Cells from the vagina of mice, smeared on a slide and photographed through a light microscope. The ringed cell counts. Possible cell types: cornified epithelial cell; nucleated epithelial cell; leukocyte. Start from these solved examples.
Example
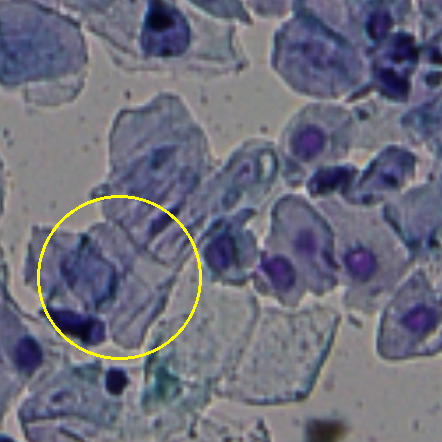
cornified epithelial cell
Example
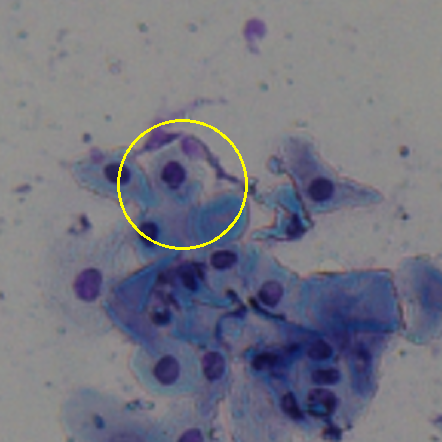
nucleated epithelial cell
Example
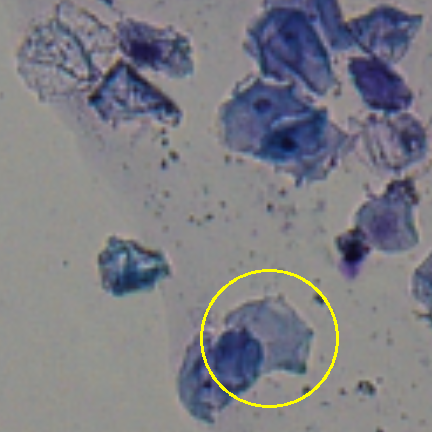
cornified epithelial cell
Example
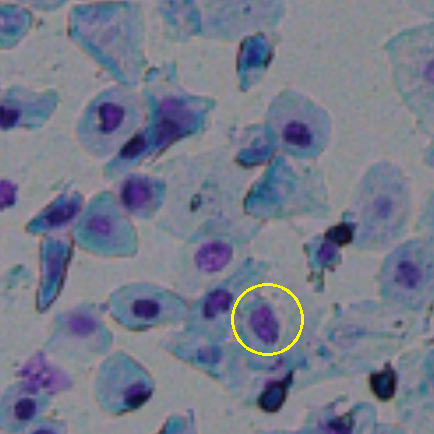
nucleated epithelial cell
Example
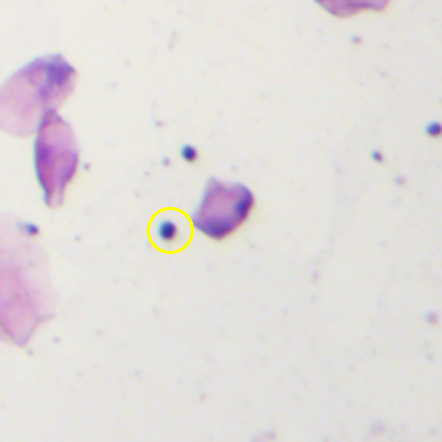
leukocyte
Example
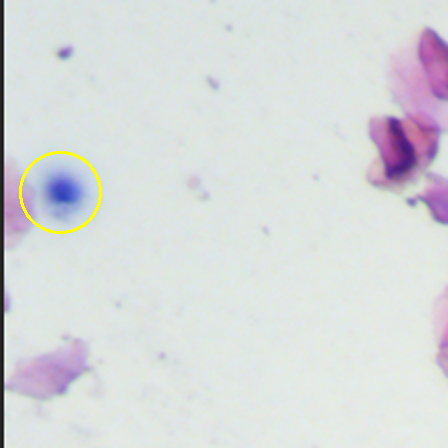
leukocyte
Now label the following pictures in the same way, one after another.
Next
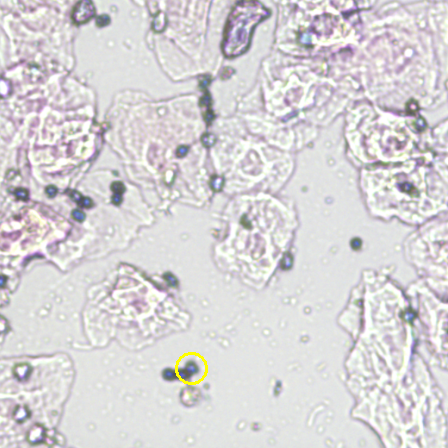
leukocyte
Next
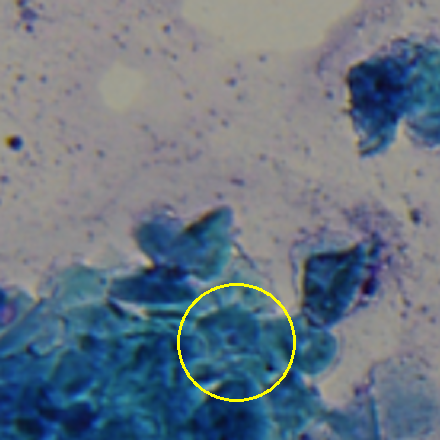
cornified epithelial cell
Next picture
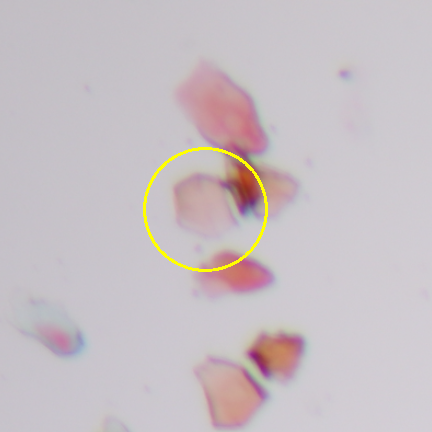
cornified epithelial cell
